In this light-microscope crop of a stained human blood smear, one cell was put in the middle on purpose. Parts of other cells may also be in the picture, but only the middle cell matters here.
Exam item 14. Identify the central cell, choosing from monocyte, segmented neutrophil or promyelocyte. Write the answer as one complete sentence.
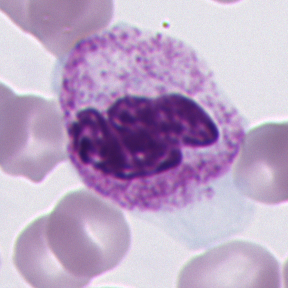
The cell that lies at the centre of the crop is a segmented neutrophil.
